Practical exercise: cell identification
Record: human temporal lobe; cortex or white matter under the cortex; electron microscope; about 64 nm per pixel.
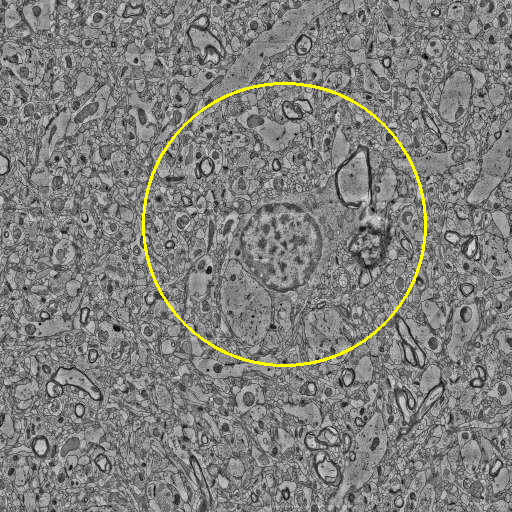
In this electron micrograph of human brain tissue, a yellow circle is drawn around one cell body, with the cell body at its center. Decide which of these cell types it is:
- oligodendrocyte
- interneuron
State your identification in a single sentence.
The ringed cell is an oligodendrocyte.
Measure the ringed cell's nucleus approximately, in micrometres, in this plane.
The nucleus is about 5 micrometres across in this plane.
